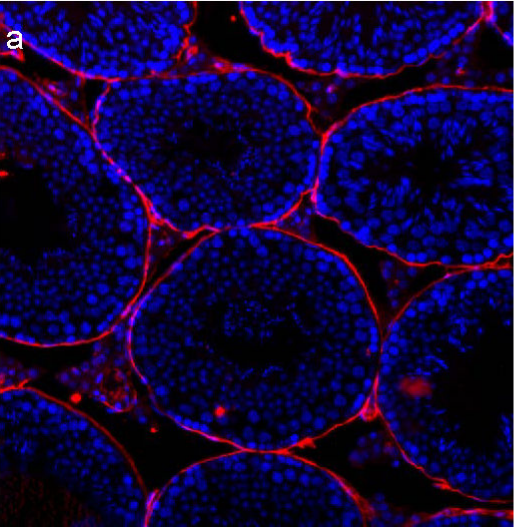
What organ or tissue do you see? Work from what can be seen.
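Round to oval tubules in cross-section fill the field, packed closely together. Each tubule is lined by a thick, multilayered epithelium of densely packed blue nuclei around a central lumen. Thin red-outlined spaces with scattered nuclei lie between the tubules.
Answer: testes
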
